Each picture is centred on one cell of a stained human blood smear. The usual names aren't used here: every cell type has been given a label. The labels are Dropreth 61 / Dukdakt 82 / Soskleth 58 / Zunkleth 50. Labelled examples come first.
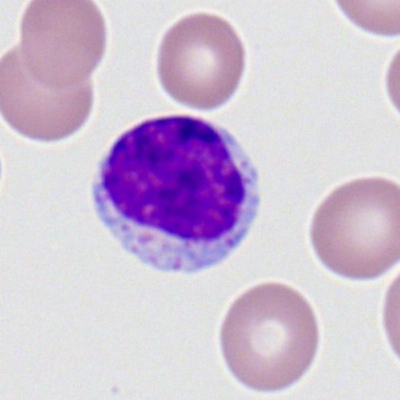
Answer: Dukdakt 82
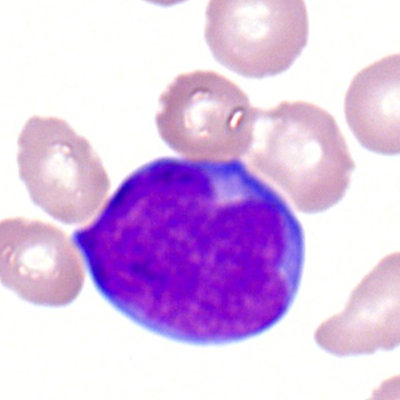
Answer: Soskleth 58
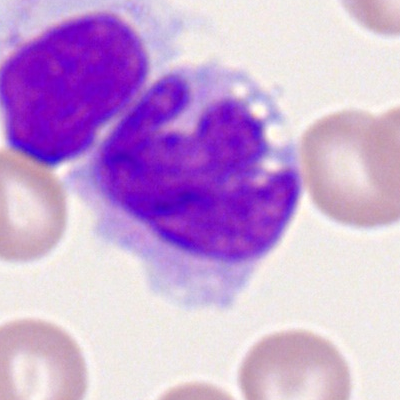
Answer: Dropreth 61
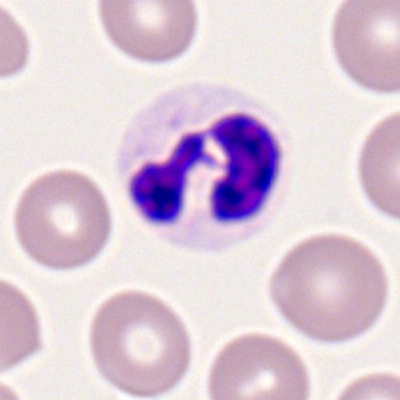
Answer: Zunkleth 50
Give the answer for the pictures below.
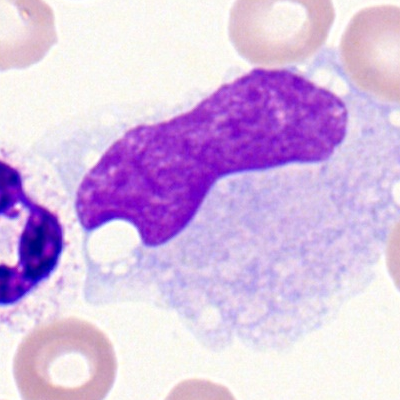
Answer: Dropreth 61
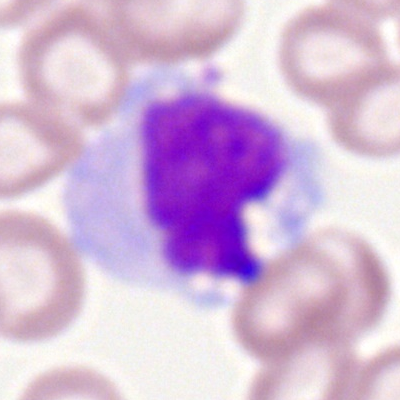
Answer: Dropreth 61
